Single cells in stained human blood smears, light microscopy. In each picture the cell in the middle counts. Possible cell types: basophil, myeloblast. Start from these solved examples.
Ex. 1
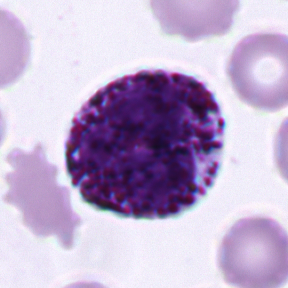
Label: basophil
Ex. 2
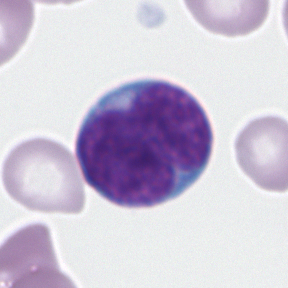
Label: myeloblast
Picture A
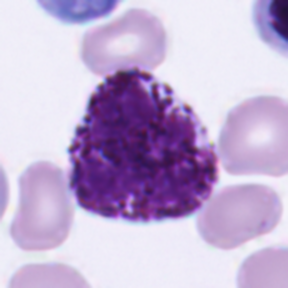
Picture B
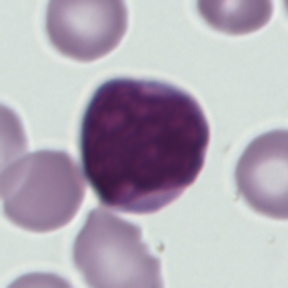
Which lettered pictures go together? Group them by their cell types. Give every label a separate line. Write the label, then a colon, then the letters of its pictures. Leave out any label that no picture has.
basophil: A
myeloblast: B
